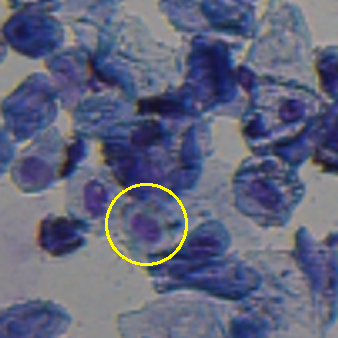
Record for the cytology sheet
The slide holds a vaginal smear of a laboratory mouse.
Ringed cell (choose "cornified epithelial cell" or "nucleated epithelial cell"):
nucleated epithelial cell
